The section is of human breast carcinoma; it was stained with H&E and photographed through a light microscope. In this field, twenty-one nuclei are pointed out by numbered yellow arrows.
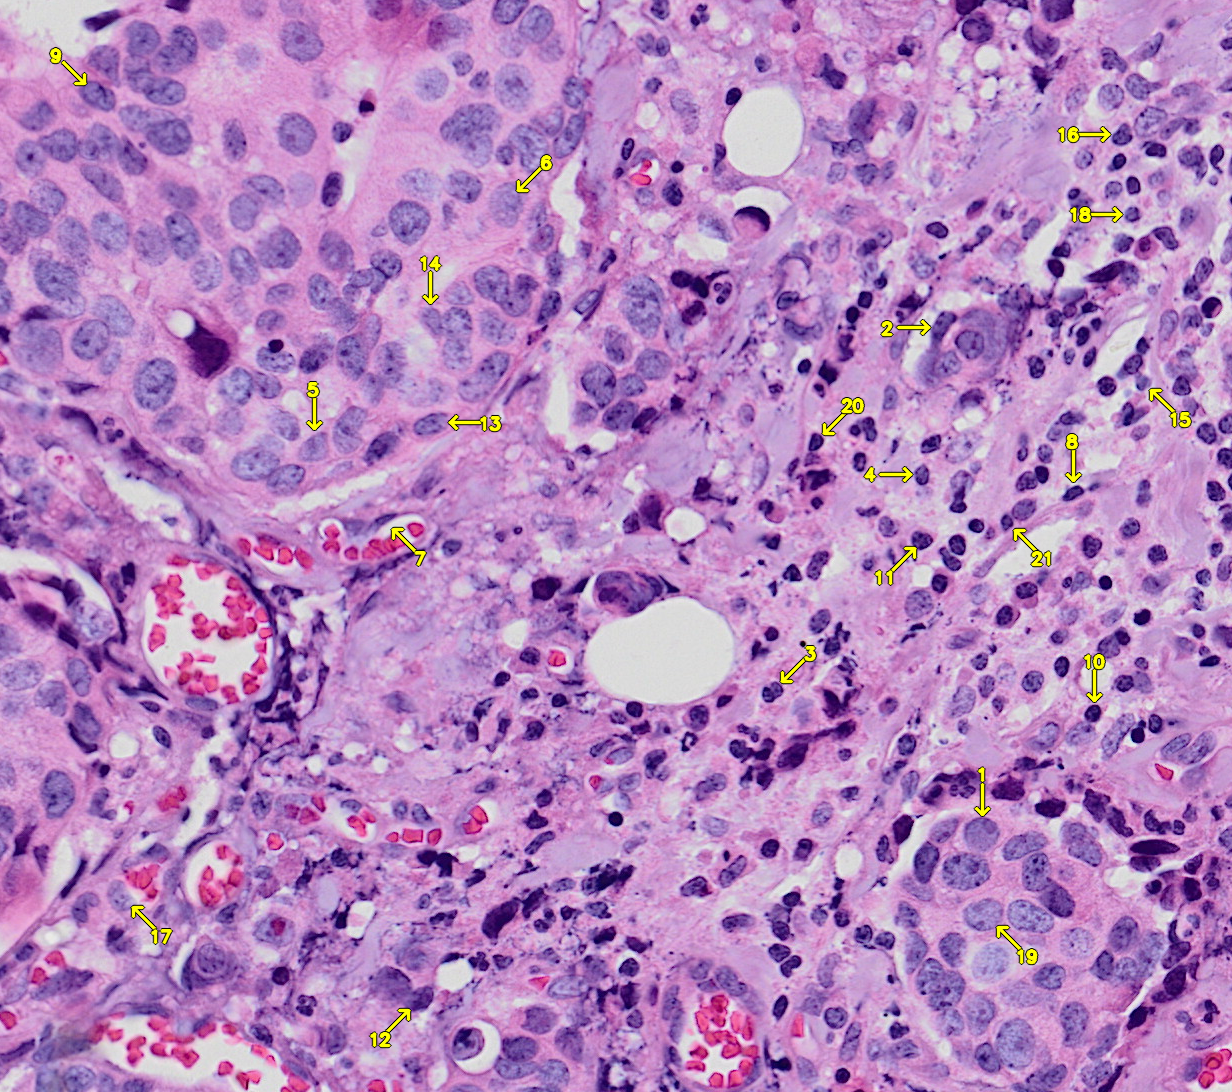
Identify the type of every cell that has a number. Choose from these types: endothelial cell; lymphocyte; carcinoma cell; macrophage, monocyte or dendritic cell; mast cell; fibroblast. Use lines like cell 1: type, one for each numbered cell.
cell 1: carcinoma cell
cell 2: carcinoma cell
cell 3: lymphocyte
cell 4: lymphocyte
cell 5: carcinoma cell
cell 6: carcinoma cell
cell 7: endothelial cell
cell 8: lymphocyte
cell 9: carcinoma cell
cell 10: lymphocyte
cell 11: lymphocyte
cell 12: carcinoma cell
cell 13: carcinoma cell
cell 14: carcinoma cell
cell 15: lymphocyte
cell 16: lymphocyte
cell 17: endothelial cell
cell 18: lymphocyte
cell 19: carcinoma cell
cell 20: lymphocyte
cell 21: lymphocyte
